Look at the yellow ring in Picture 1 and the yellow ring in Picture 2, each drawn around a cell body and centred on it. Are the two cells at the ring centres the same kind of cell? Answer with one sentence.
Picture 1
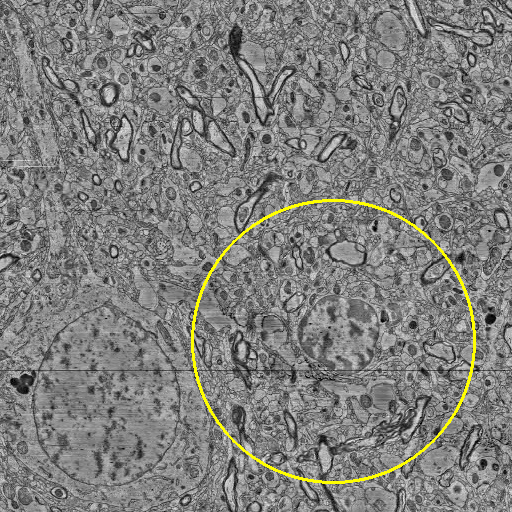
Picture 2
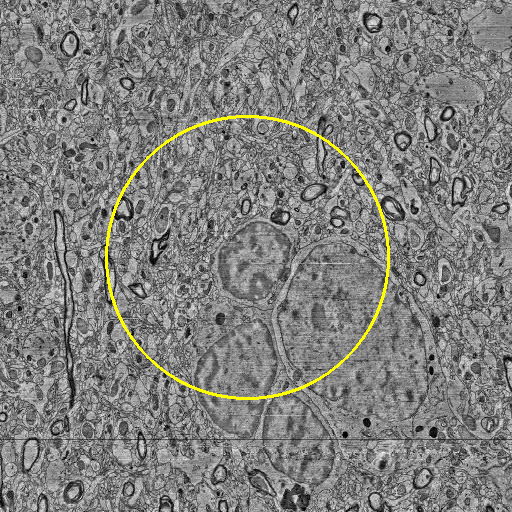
No, they are cells of two kinds.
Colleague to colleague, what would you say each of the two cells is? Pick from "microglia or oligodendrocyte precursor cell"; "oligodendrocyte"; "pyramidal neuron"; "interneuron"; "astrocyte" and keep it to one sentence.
The cell in the first picture is a microglial cell or oligodendrocyte precursor cell; the second picture's cell is an oligodendrocyte.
